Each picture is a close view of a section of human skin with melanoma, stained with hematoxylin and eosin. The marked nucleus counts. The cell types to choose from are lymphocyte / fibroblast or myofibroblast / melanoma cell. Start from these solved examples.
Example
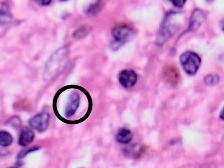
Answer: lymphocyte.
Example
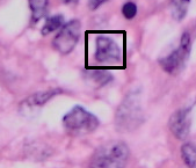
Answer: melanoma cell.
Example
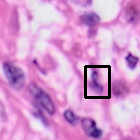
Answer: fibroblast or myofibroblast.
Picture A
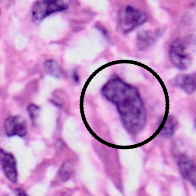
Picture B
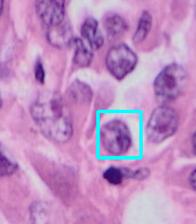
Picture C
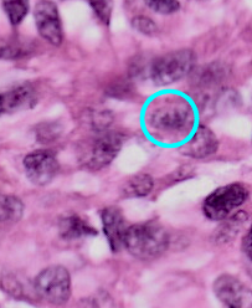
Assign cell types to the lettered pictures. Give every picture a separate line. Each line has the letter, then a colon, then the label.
A: melanoma cell.
B: melanoma cell.
C: melanoma cell.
